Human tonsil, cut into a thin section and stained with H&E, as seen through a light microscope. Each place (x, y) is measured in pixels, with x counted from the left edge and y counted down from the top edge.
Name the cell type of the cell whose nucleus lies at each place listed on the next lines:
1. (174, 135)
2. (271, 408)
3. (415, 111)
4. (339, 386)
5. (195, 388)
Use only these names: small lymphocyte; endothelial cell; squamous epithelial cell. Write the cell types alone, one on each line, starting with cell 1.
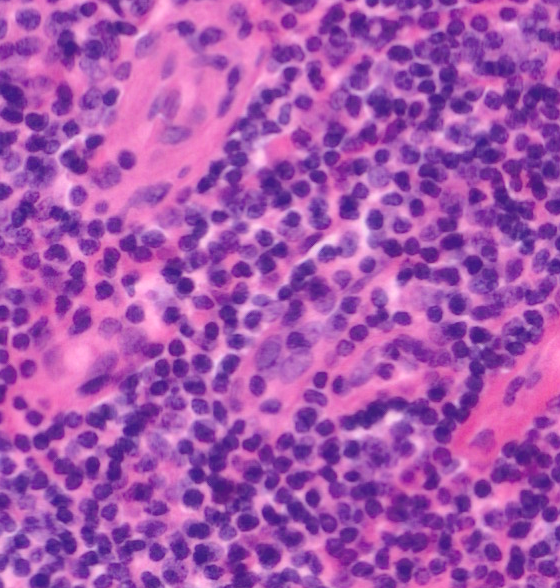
endothelial cell
endothelial cell
small lymphocyte
endothelial cell
small lymphocyte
